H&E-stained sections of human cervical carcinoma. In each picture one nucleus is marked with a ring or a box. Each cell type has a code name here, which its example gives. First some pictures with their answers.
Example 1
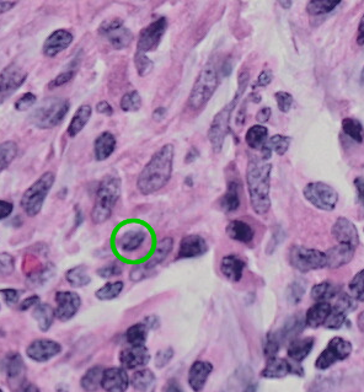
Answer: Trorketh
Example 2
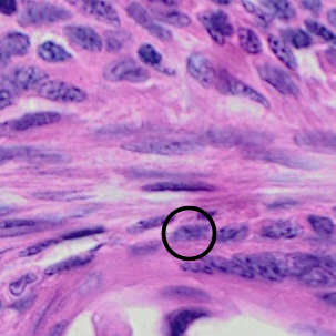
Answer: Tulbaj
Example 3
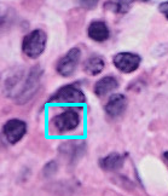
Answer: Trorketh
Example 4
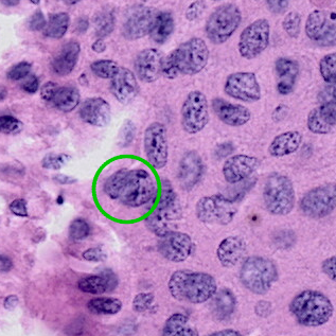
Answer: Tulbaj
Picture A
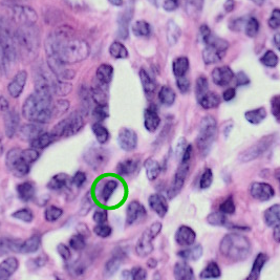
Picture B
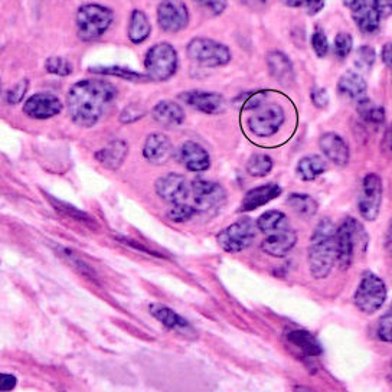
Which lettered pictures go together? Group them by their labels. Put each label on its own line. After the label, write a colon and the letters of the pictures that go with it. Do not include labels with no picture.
Trorketh: A
Tulbaj: B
